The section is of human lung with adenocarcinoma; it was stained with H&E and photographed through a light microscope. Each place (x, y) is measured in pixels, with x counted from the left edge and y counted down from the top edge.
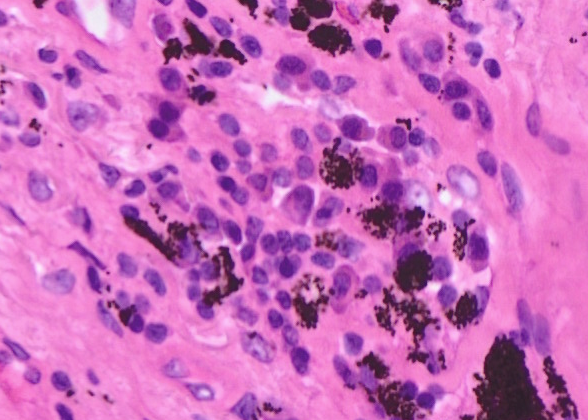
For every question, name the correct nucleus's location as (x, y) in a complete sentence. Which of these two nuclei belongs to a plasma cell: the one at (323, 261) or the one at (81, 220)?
The nucleus that belongs to a plasma cell is located at (81, 220).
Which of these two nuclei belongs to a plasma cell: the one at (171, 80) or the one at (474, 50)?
Of the pair, the nucleus positioned at (171, 80) is that of a plasma cell.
